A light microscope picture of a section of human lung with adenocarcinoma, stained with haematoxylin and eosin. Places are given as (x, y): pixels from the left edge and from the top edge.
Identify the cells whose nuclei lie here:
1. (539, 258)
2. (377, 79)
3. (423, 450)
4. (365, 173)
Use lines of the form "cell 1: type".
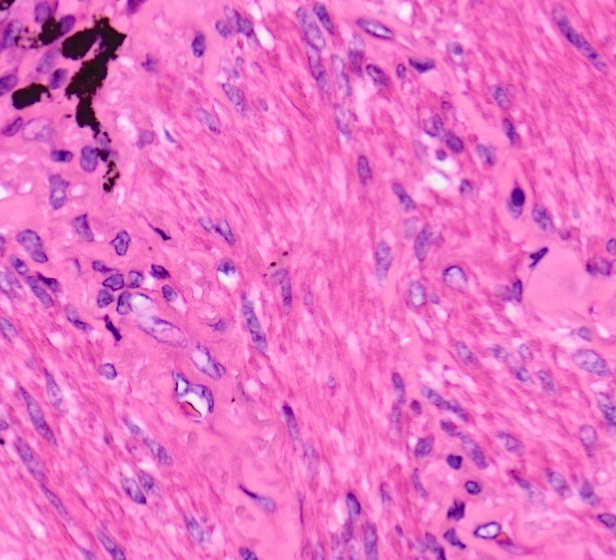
cell 1: fibroblast
cell 2: smooth muscle cell or pericyte
cell 3: smooth muscle cell or pericyte
cell 4: smooth muscle cell or pericyte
